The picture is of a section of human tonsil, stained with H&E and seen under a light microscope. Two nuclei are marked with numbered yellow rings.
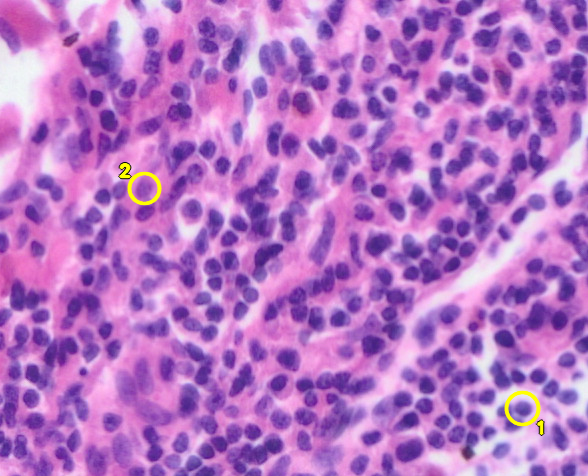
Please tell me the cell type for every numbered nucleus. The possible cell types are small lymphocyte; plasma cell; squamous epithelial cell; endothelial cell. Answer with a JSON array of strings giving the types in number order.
["small lymphocyte", "endothelial cell"]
